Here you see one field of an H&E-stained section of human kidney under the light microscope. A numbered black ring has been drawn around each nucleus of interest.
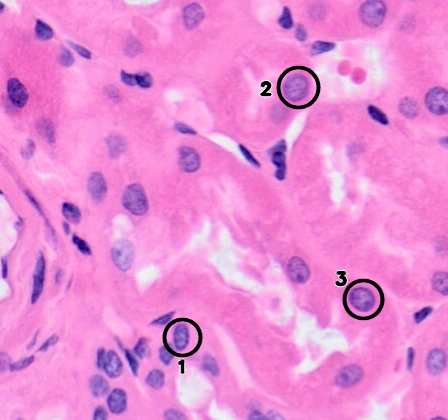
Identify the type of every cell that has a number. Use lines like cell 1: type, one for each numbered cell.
cell 1: collecting duct cell
cell 2: proximal tubule cell
cell 3: proximal tubule cell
